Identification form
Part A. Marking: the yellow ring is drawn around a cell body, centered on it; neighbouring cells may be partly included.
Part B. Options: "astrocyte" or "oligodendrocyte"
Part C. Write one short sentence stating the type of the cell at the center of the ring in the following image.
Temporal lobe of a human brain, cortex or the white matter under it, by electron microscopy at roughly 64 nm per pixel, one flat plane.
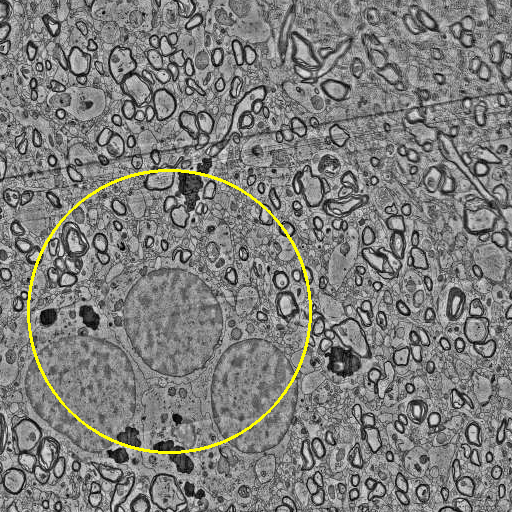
The center of the ring holds an oligodendrocyte.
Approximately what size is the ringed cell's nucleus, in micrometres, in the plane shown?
In this plane, approximately 7 micrometres across.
